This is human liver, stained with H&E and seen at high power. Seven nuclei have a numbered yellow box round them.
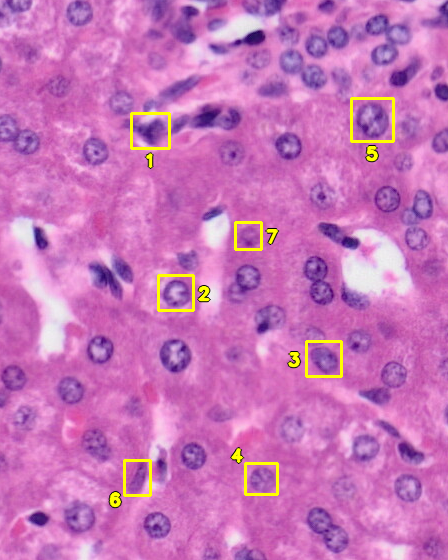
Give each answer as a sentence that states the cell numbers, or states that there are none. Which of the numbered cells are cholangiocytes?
Cell 3 is a cholangiocyte; the remaining numbered cells are not.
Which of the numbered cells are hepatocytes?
The cells carrying the numbers 2, 4, 5 and 7 are hepatocytes.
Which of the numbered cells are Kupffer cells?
Response: cell 6 is a Kupffer cell, and no other numbered cell is.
